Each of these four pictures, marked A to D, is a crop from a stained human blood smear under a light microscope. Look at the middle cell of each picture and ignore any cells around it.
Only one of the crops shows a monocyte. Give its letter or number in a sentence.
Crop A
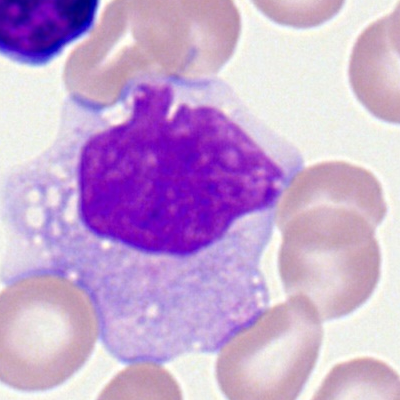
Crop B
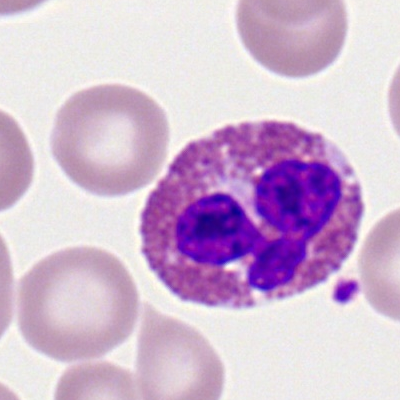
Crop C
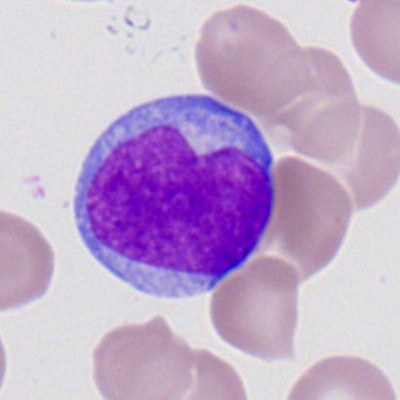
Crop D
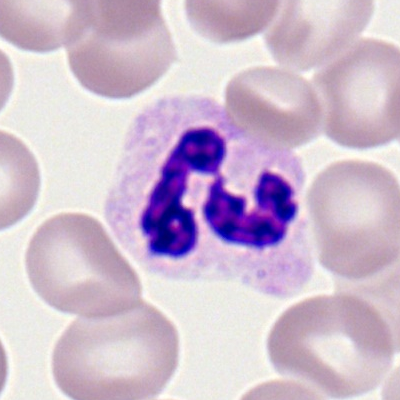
Crop A is the crop that displays a monocyte.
